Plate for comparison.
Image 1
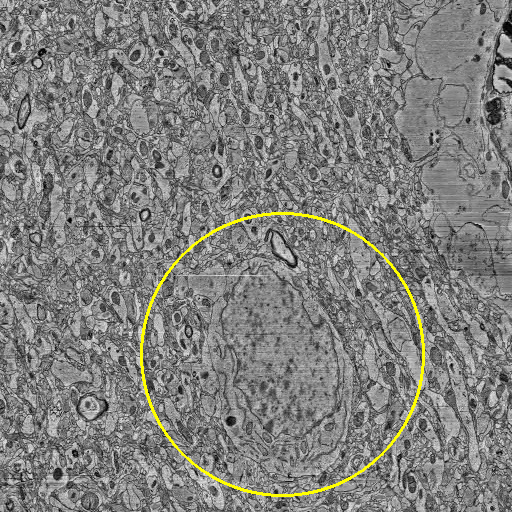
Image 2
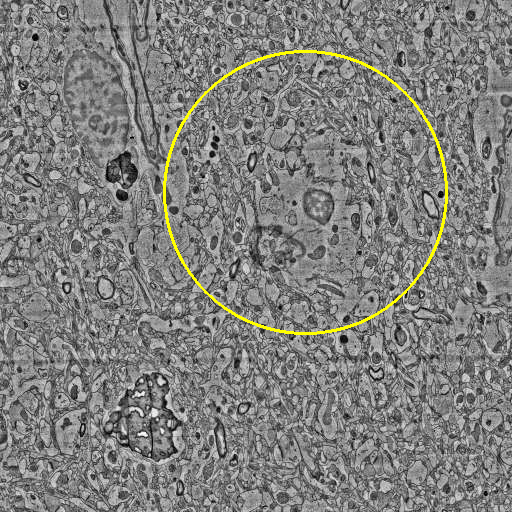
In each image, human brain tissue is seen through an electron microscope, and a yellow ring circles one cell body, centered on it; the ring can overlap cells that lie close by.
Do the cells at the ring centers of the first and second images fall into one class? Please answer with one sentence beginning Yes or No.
No, the first and second images show two classes of cell at the ring centers.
